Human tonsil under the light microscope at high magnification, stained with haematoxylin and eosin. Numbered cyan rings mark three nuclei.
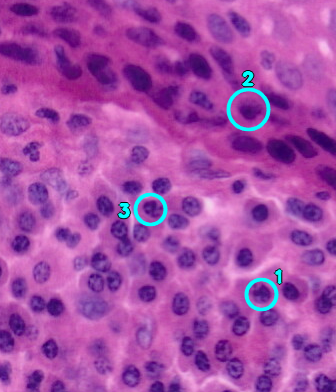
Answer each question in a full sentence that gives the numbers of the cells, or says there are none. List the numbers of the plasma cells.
The cells marked by the numbers 1 and 3 are plasma cells.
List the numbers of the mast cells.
The numbered set holds no mast cells whatsoever.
